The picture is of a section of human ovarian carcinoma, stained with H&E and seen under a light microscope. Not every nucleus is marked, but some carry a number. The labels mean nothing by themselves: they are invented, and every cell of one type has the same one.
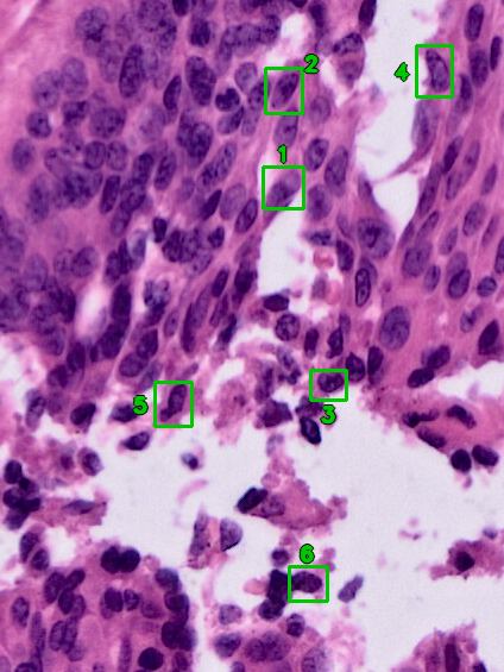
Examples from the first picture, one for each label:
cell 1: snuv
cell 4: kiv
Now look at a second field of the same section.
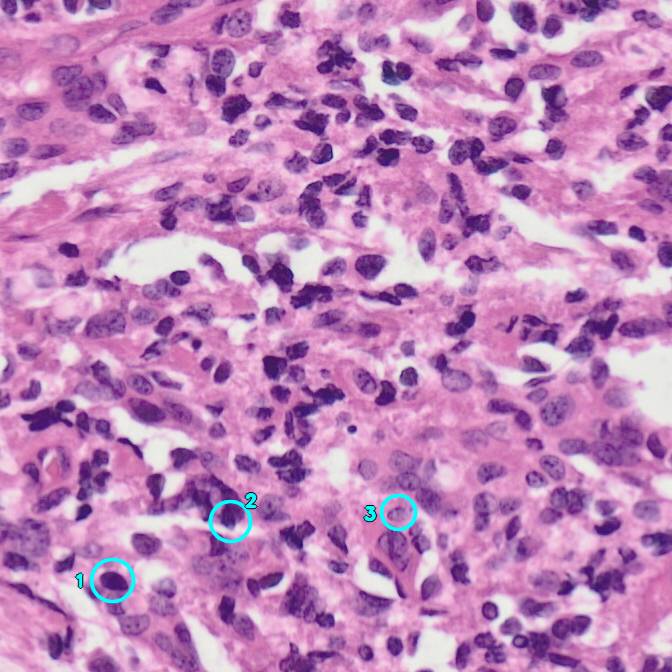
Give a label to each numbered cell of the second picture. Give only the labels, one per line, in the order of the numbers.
snuv
snuv
kiv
